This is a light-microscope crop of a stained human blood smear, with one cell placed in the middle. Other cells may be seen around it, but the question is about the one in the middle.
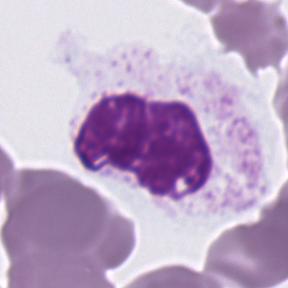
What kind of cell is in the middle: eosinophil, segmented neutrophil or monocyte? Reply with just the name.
segmented neutrophil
